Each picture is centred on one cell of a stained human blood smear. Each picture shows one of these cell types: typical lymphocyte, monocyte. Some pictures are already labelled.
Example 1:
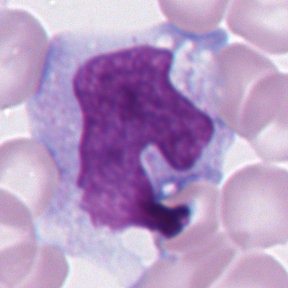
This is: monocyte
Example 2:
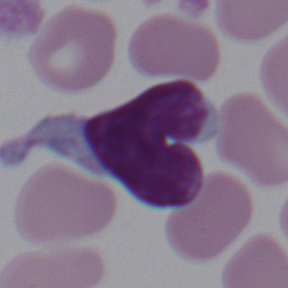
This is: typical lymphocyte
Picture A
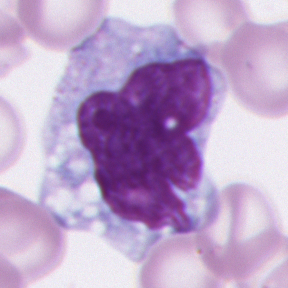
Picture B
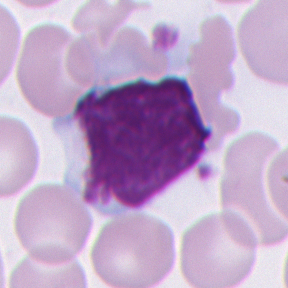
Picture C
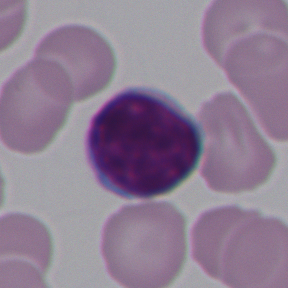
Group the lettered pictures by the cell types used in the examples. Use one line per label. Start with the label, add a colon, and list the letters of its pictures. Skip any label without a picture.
typical lymphocyte: B, C
monocyte: A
